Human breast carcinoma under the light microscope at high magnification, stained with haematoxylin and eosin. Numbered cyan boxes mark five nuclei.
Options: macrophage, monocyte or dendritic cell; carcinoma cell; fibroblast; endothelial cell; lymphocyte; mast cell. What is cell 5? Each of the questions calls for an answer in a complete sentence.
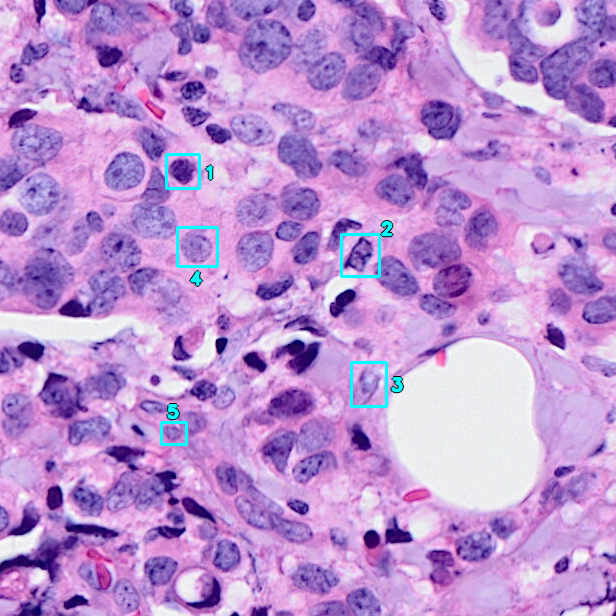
Here, the cell given the number 5 is an endothelial cell.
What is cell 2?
In the tissue shown, cell 2 is a carcinoma cell.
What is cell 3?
The label 3 in this section denotes a fibroblast.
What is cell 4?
Cell number 4 in this section is a carcinoma cell.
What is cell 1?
The cell that is numbered 1 is a carcinoma cell.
